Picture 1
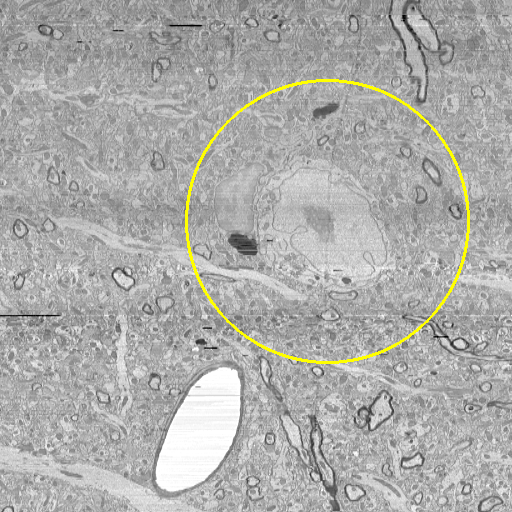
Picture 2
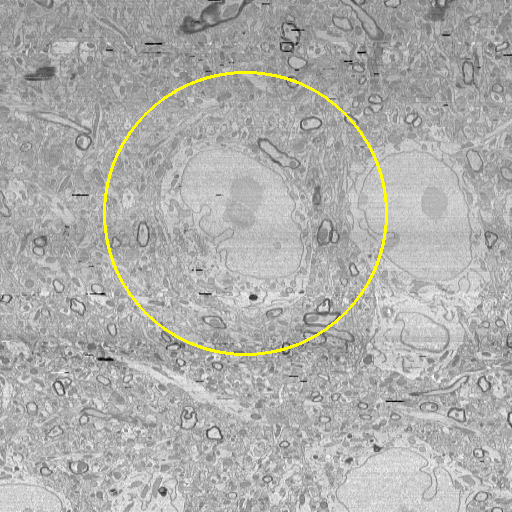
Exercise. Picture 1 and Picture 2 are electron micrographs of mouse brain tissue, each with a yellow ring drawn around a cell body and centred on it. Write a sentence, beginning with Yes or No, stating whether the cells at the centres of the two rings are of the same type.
Yes, the cells at the centres of both rings are of the same type.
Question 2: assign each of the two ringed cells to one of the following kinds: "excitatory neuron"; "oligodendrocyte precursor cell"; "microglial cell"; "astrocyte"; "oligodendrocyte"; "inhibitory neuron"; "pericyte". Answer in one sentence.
In each of the two pictures, the ringed cell is an inhibitory neuron.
